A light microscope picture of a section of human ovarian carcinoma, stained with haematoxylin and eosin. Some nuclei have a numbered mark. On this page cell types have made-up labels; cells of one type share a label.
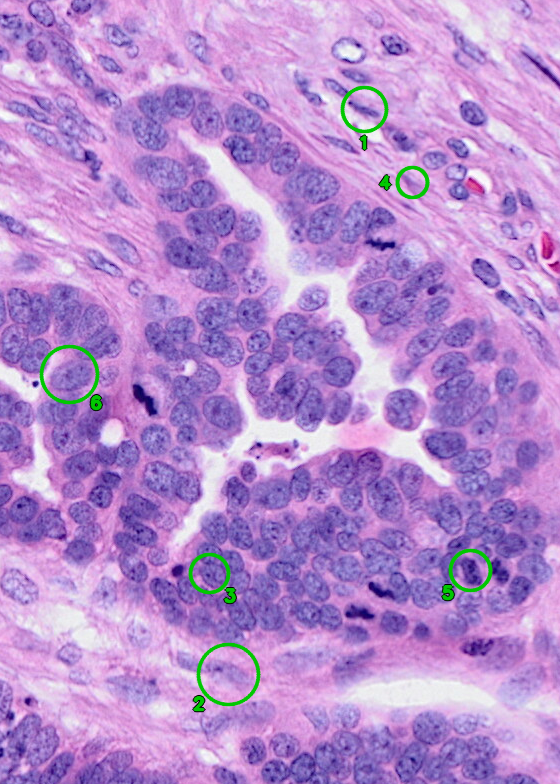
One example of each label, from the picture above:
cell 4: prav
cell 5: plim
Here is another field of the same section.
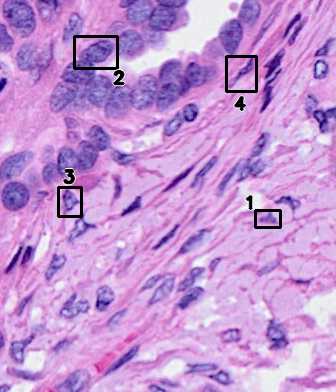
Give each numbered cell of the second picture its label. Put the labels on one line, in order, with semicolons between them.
prav; plim; prav; prav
